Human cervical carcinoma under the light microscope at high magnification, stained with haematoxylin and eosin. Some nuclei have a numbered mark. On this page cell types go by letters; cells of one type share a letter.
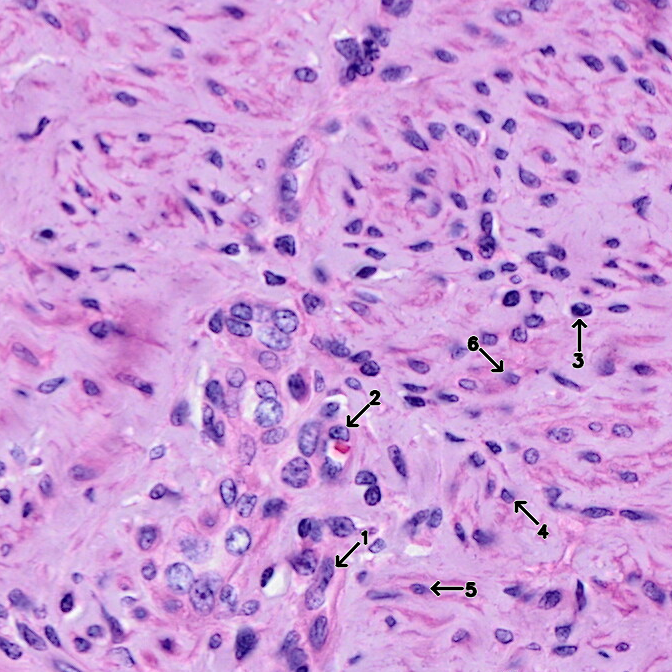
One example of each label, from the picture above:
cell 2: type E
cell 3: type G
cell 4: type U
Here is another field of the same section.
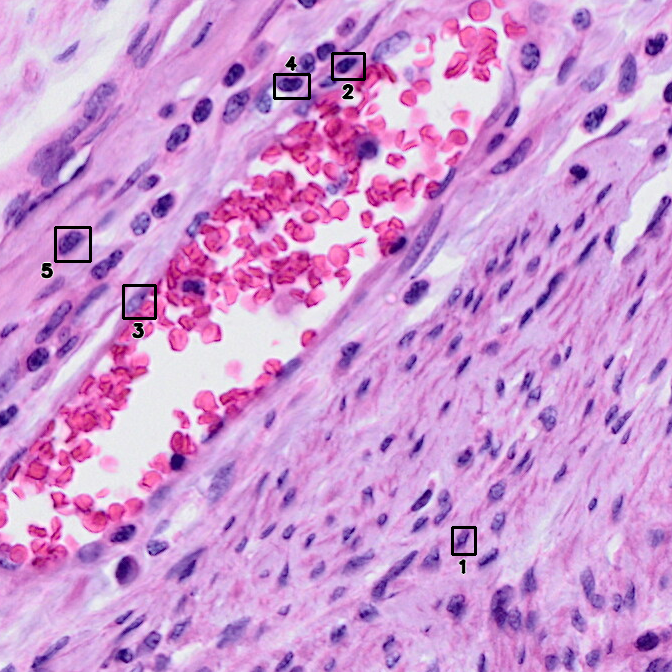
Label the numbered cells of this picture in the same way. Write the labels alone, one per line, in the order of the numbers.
type U
type G
type E
type G
type G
